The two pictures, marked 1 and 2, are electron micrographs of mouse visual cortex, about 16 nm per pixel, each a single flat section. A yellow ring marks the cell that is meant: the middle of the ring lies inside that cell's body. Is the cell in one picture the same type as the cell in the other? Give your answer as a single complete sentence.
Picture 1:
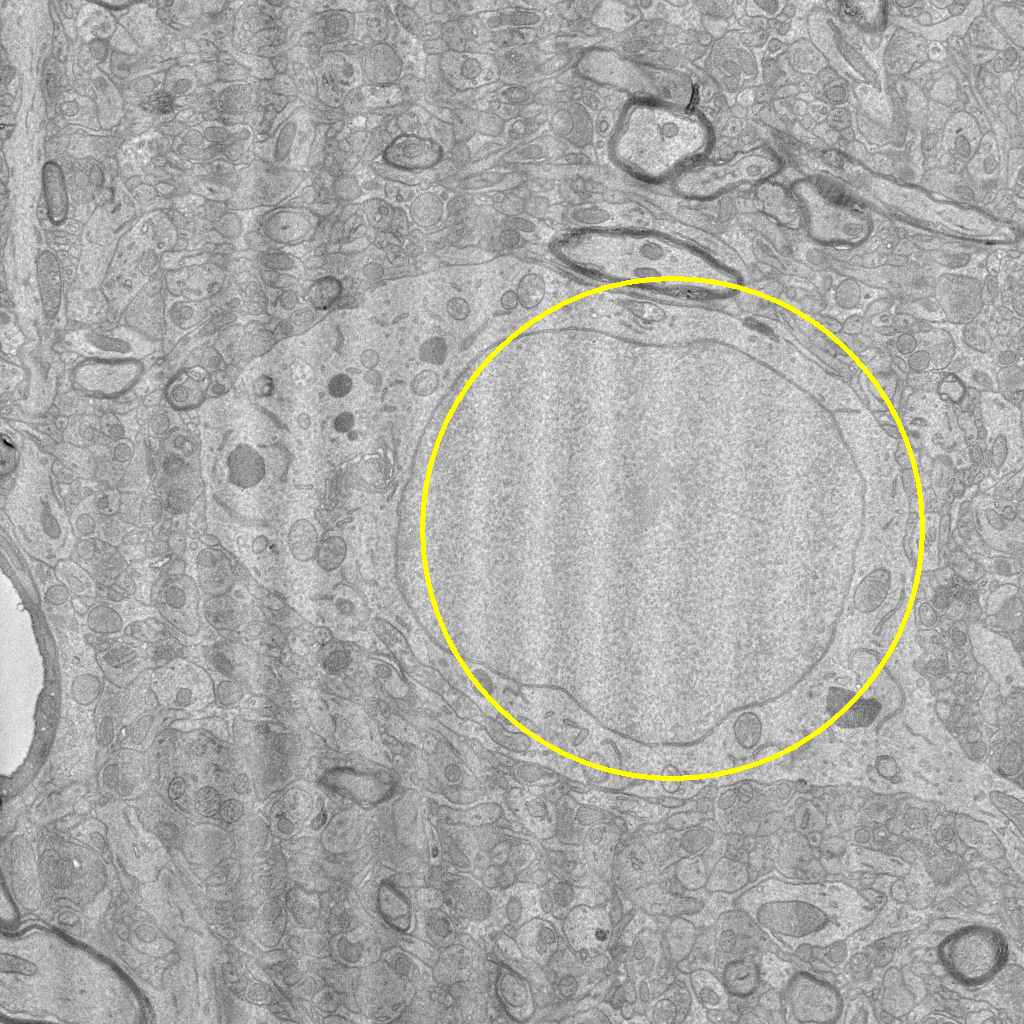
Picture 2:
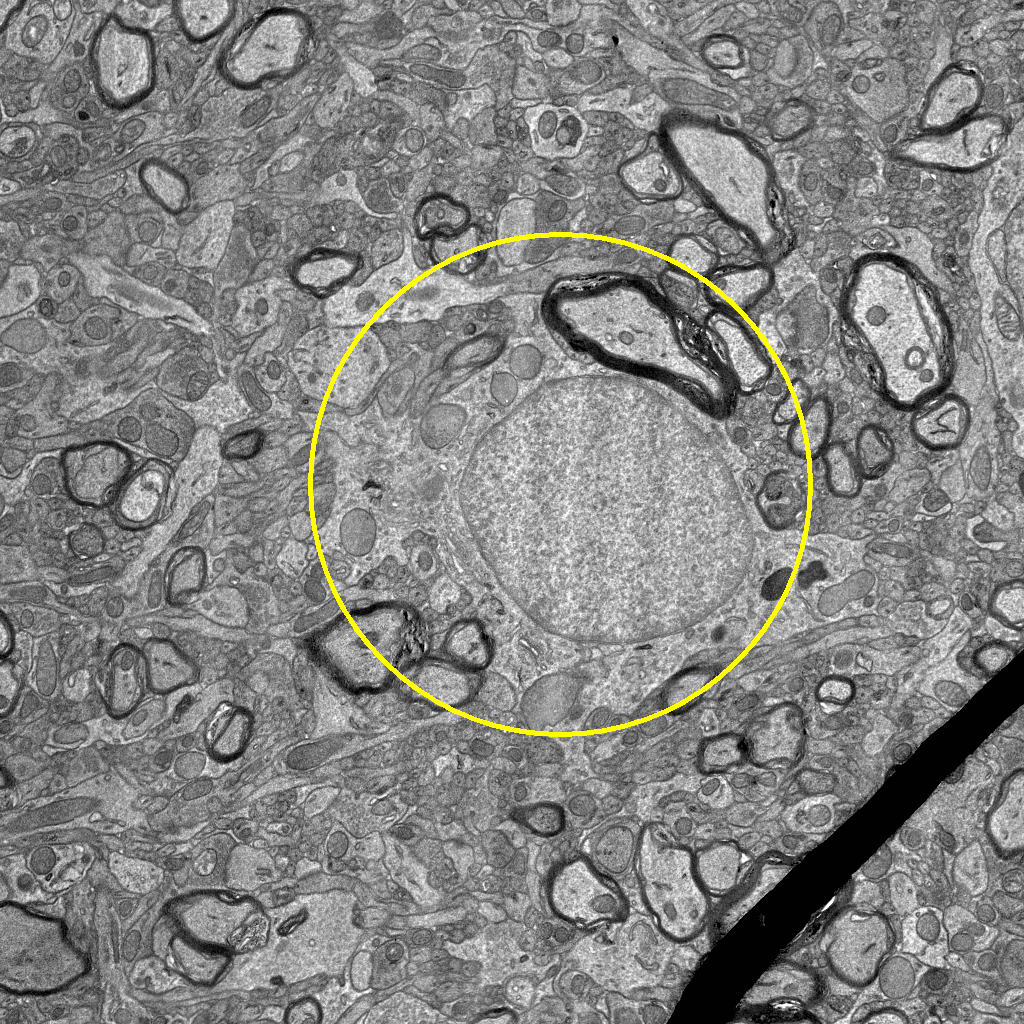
No, they differ: the cell is an excitatory neuron in picture 1 and an astrocyte in picture 2.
